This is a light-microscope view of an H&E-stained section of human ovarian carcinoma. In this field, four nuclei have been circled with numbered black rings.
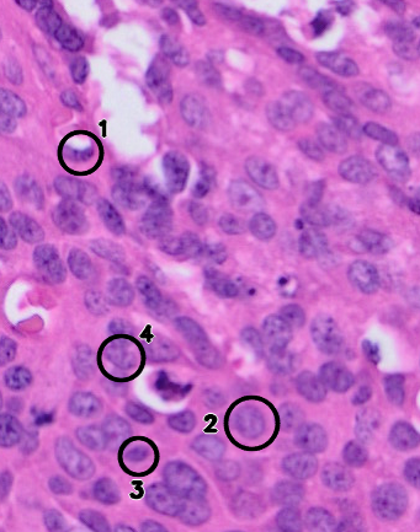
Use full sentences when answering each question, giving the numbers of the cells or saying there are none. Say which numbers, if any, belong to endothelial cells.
Cell 1 stands alone among the numbered cells as an endothelial cell.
